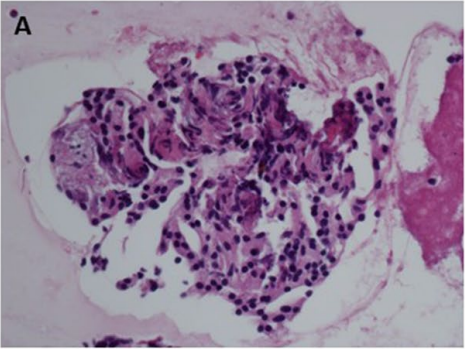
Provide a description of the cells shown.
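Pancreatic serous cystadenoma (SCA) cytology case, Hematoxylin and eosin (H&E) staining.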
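Nuclei are small, round to oval, fairly uniform and darkly stained purple-blue. Cytoplasm is scant to moderate and pale, with indistinct cell borders. The cells are arranged around pink fibrous stromal strands running through the cluster. A pale pink background material surrounds the cluster, with a denser red-pink area at its right edge.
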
